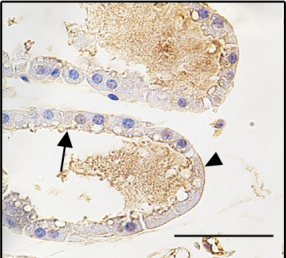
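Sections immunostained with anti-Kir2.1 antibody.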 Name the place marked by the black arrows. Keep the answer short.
Apical membrane.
